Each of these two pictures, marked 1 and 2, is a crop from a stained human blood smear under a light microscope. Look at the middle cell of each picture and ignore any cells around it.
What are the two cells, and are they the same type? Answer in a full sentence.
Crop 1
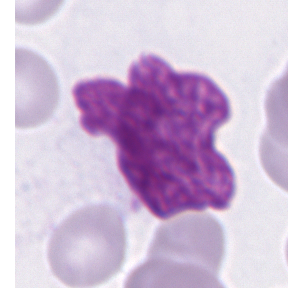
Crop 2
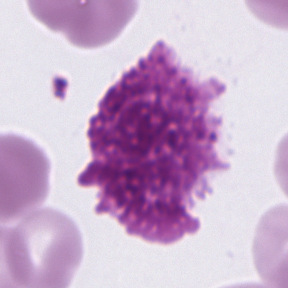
Yes, smudge cells are present at the centre of both crops.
